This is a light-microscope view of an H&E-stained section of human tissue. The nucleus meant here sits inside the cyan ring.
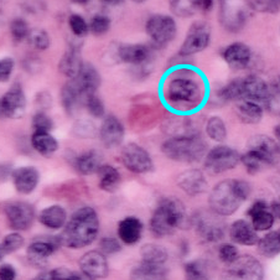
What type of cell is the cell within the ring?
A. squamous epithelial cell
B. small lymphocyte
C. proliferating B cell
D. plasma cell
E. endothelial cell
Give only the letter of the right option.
C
